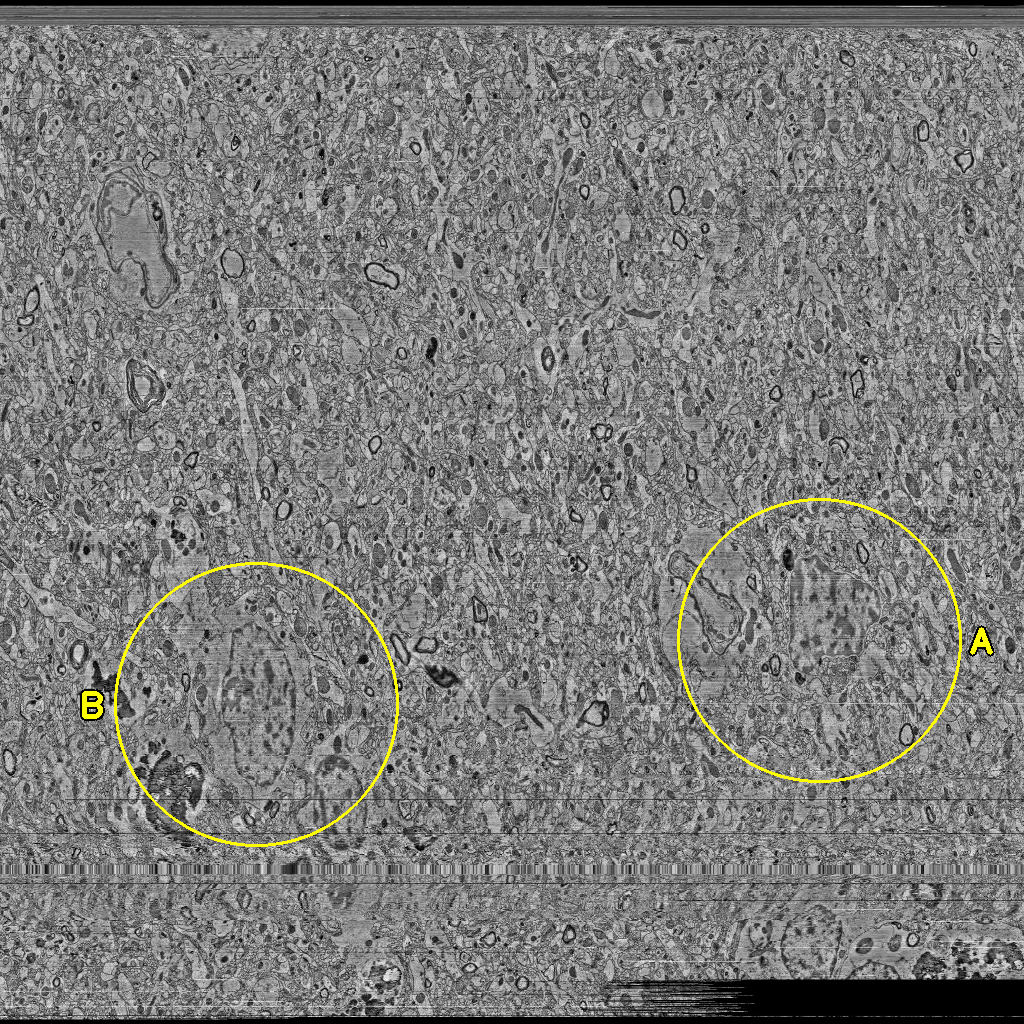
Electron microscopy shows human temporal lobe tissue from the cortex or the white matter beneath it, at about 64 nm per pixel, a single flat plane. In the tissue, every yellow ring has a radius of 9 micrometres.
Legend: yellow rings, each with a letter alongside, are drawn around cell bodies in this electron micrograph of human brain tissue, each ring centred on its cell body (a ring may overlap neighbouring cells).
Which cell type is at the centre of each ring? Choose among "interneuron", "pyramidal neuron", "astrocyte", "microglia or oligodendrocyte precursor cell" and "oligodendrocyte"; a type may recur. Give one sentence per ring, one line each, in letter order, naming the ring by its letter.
Ring A has a microglial cell or oligodendrocyte precursor cell at its centre.
Ring B has an astrocyte at its centre.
